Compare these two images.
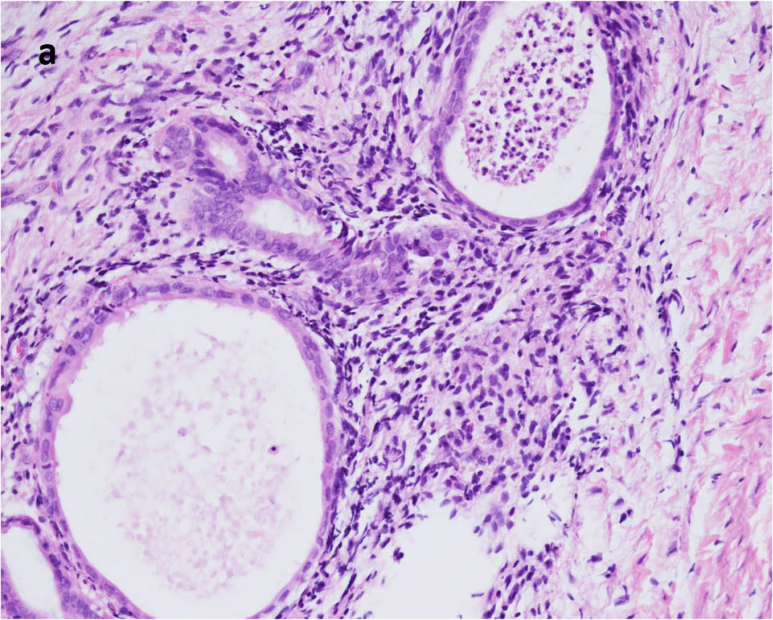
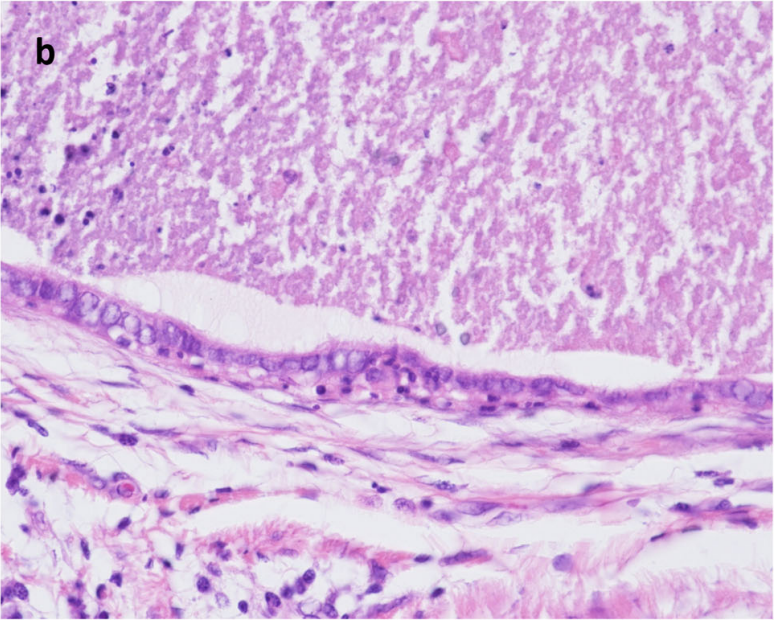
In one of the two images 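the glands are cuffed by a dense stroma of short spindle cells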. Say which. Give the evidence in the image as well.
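Second image: the epithelial lining sits on loose, sparsely cellular fibrous tissue with no dense spindle-cell cuff. So: the first image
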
